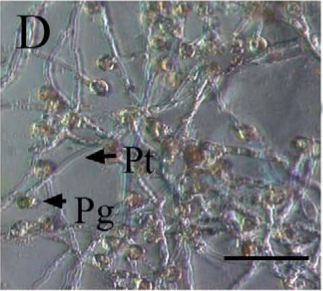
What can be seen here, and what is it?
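From many of them a long, thin, tubular pollen tube extends. The tubes are slender and of even width, and they run in many directions and cross over one another to form a dense tangled network between the grains.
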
